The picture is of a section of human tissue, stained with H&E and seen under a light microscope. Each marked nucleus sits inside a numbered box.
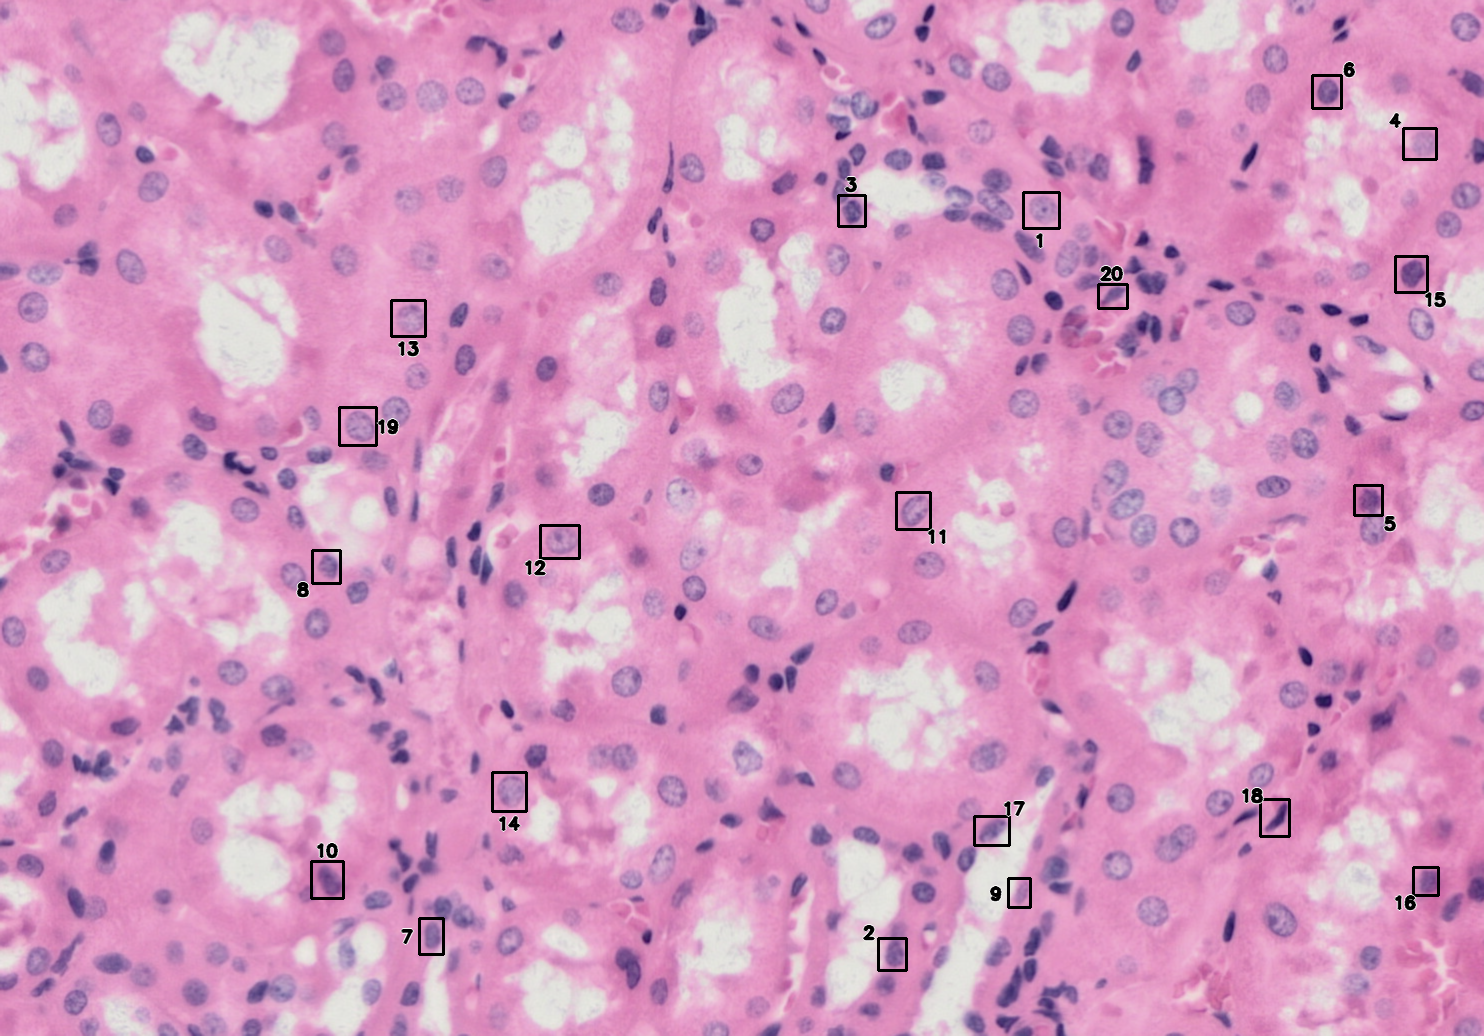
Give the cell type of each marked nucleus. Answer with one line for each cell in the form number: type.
1: collecting duct cell
2: loop of Henle or distal tubule cell
3: collecting duct cell
4: proximal tubule cell
5: proximal tubule cell
6: proximal tubule cell
7: collecting duct cell
8: loop of Henle or distal tubule cell
9: loop of Henle or distal tubule cell
10: proximal tubule cell
11: proximal tubule cell
12: proximal tubule cell
13: proximal tubule cell
14: proximal tubule cell
15: proximal tubule cell
16: proximal tubule cell
17: loop of Henle or distal tubule cell
18: endothelial cell
19: proximal tubule cell
20: endothelial cell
